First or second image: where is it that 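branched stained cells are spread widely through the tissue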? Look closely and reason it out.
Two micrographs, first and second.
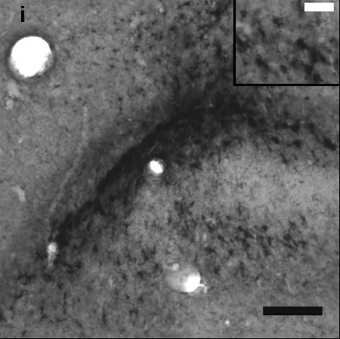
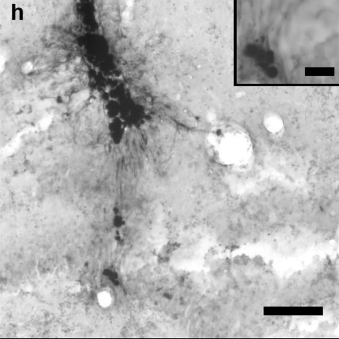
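Second image: the stained cells crowd in a dense dark cluster along a narrow track.
Hence: the first image.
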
